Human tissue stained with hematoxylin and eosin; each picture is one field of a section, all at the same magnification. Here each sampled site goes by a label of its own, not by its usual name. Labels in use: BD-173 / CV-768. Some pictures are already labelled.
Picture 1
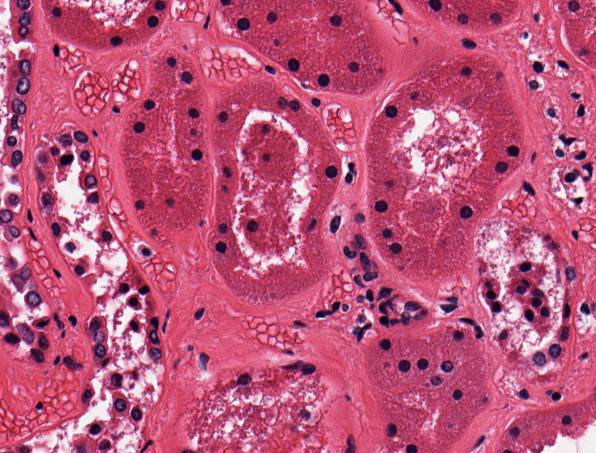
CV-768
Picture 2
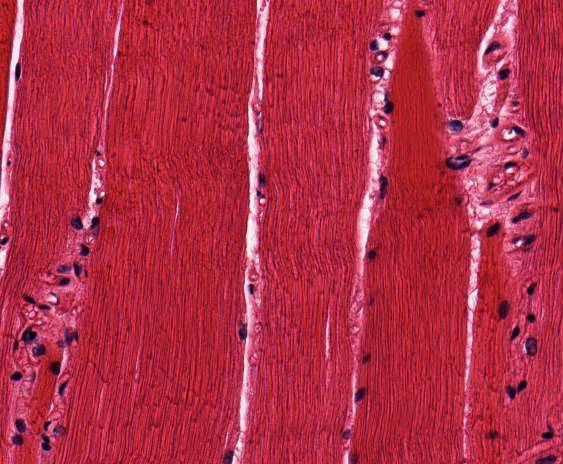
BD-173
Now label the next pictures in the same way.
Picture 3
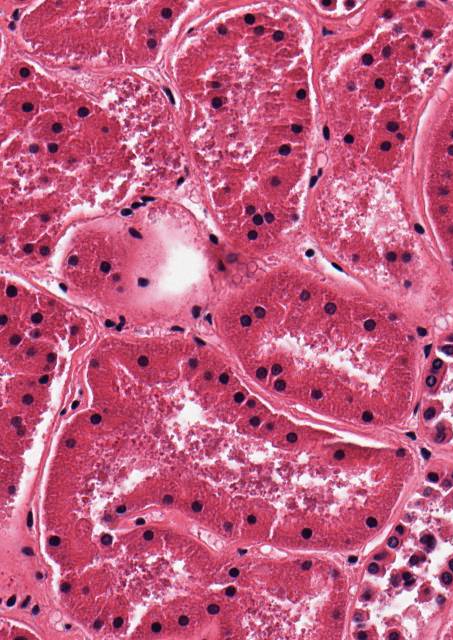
CV-768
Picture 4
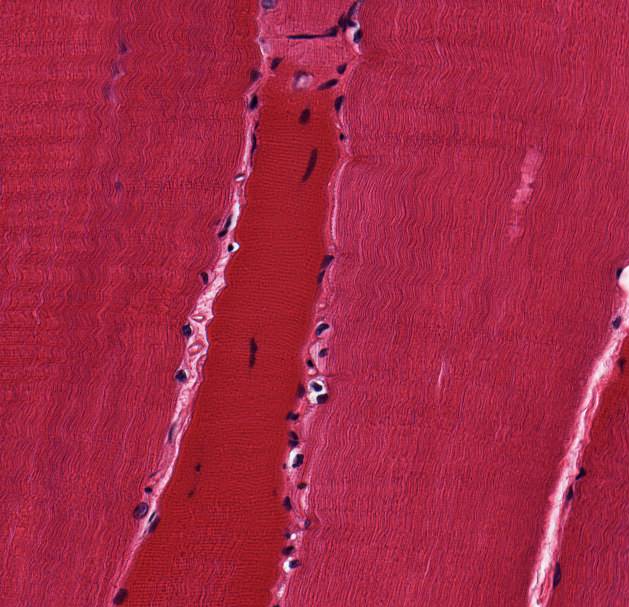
BD-173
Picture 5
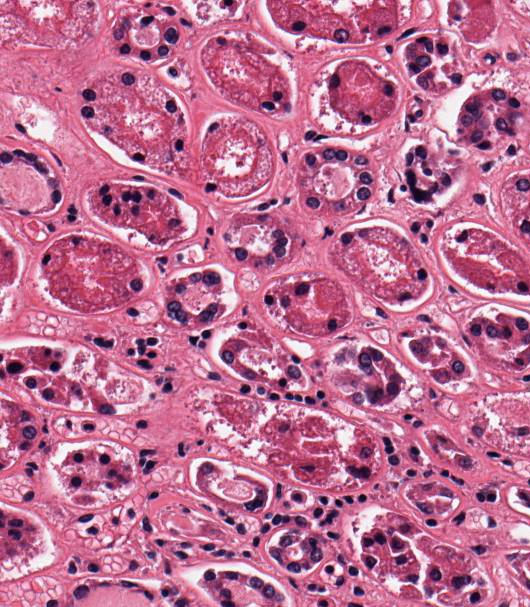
CV-768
